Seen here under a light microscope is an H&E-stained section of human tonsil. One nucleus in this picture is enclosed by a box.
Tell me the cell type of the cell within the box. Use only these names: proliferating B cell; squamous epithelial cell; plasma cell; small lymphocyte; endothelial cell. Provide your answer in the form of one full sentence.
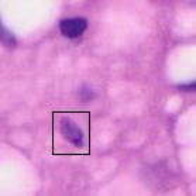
As far as its identity is concerned, the cell within the box is a squamous epithelial cell.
